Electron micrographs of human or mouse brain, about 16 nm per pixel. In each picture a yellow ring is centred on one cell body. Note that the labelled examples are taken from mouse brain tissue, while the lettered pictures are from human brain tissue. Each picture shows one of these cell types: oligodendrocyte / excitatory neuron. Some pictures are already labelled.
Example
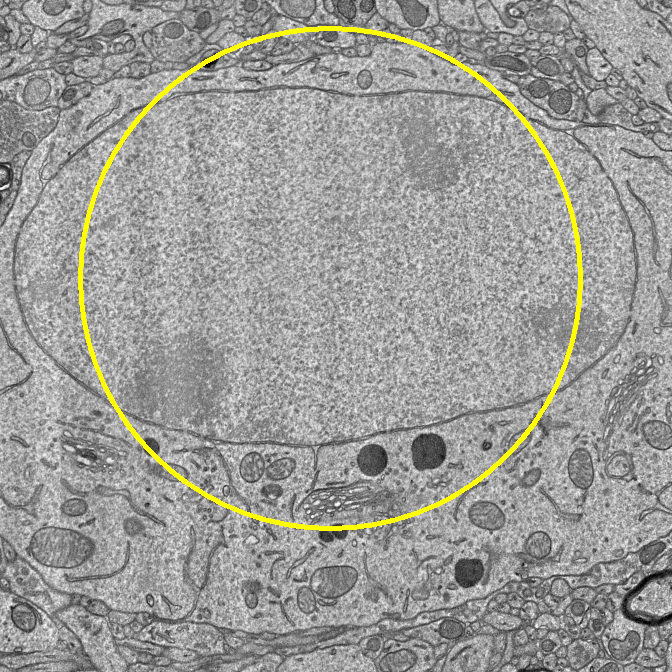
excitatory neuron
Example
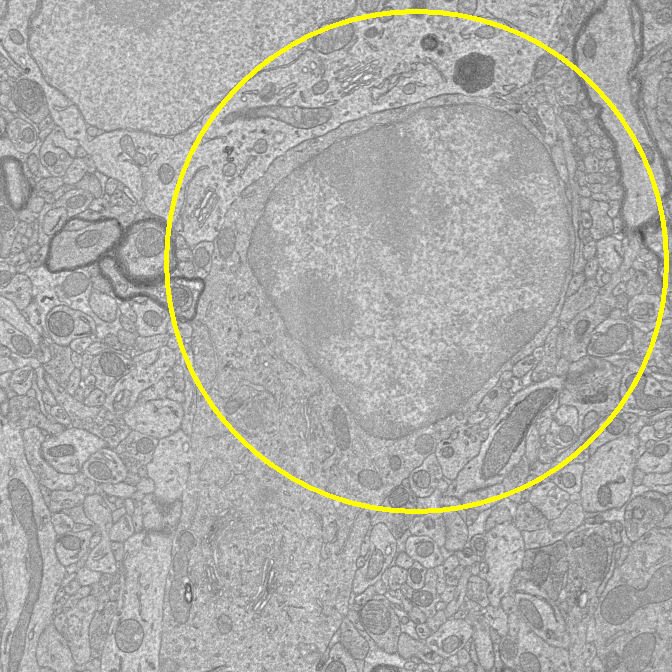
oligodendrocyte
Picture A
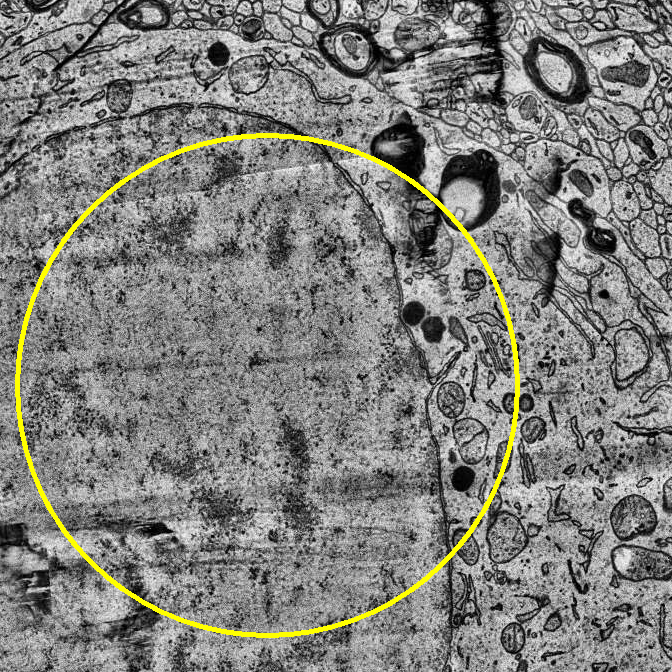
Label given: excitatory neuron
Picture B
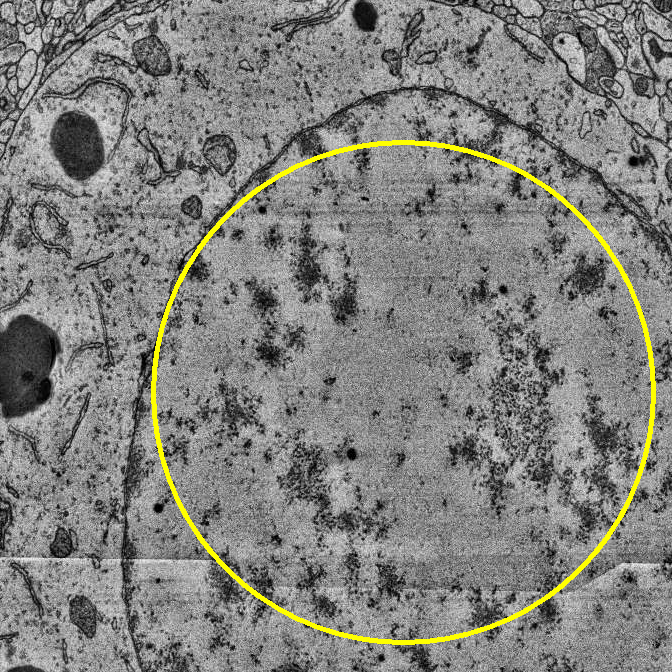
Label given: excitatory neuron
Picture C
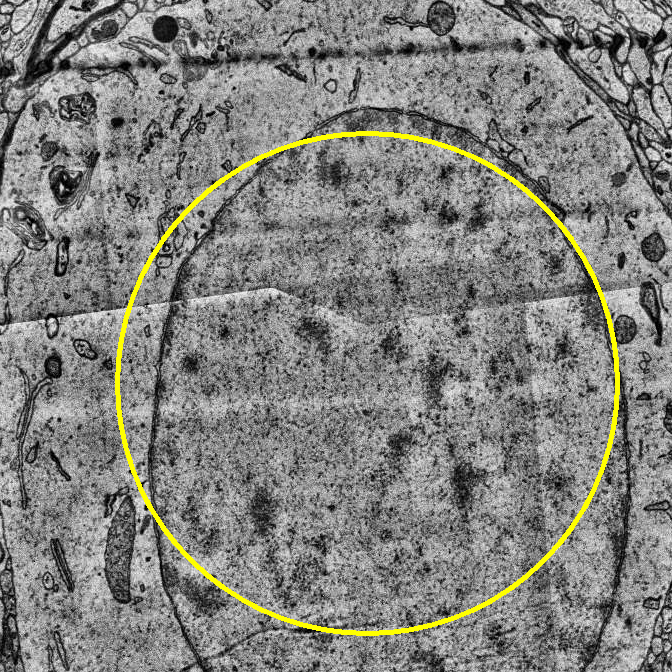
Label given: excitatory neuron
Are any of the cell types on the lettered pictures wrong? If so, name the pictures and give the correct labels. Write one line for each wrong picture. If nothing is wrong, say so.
Every label is right.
